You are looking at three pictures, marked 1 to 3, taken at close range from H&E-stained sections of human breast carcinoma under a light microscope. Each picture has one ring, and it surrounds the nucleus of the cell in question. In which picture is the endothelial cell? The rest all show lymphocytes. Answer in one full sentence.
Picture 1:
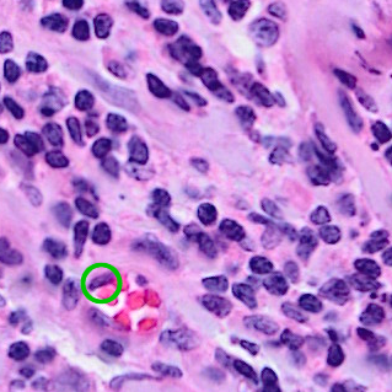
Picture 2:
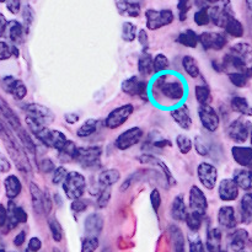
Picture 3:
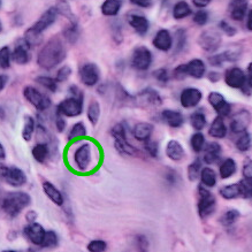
The endothelial cell is the one in picture 1.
